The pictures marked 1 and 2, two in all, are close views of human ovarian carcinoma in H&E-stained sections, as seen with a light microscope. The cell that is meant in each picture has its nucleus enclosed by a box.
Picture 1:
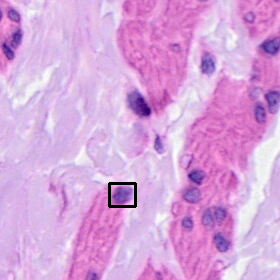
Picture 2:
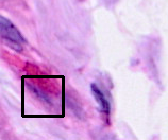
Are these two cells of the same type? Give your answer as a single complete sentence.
No. Picture 1 shows a smooth muscle cell, but picture 2 shows an endothelial cell.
